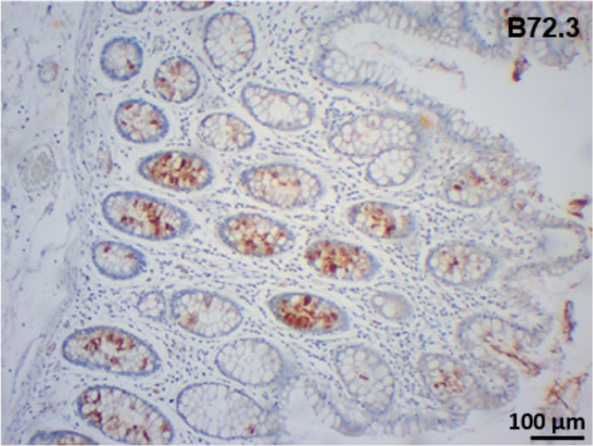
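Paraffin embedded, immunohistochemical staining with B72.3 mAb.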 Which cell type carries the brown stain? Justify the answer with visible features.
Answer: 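Crypts cut in cross-section are lined by many rounded, pale, mucin-filled cells. The brown stain fills the rounded vacuole-like cells inside the crypts. Thin bluish nuclei sit at the crypt periphery, not in the stained vacuoles.
Goblet cells.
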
